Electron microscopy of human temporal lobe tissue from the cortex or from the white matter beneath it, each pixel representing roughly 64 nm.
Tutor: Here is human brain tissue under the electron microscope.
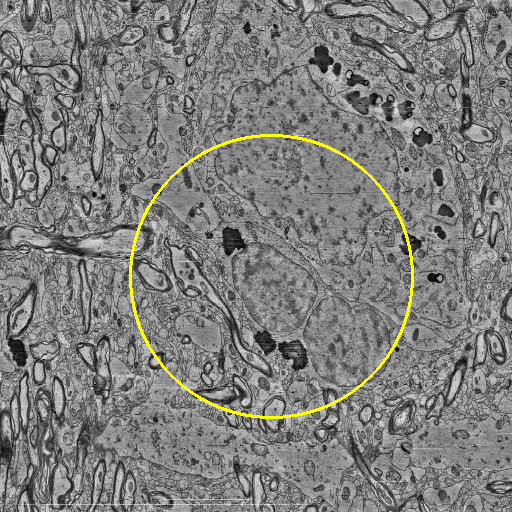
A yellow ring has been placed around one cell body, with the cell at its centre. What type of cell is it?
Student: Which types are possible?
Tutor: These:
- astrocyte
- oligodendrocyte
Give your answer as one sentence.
What the ring picks out here is an oligodendrocyte.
